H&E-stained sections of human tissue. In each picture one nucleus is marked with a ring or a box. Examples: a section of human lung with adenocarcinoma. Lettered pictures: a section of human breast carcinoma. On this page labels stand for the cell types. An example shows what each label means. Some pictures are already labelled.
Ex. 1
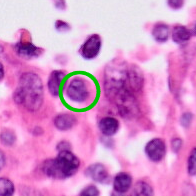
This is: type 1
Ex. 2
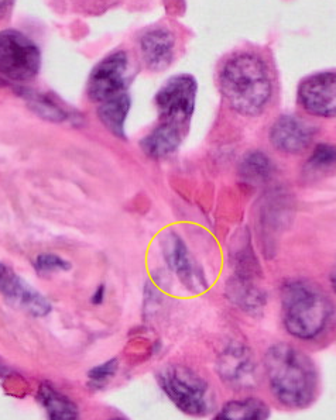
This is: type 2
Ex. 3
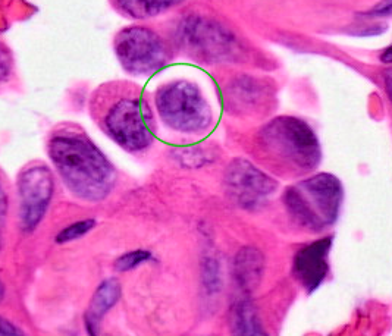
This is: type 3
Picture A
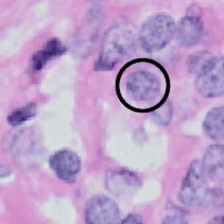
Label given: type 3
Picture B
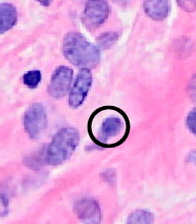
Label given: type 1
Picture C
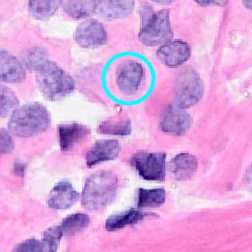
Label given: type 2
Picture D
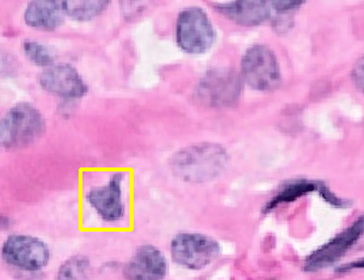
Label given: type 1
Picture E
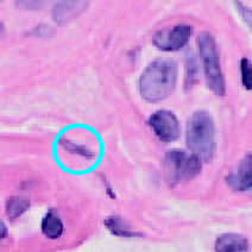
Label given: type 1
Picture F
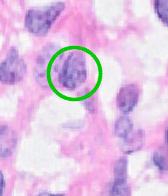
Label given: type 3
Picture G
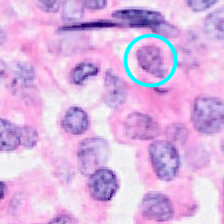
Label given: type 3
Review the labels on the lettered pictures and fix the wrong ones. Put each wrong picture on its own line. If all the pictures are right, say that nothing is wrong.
C: not type 2 but type 3
E: not type 1 but type 2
